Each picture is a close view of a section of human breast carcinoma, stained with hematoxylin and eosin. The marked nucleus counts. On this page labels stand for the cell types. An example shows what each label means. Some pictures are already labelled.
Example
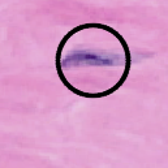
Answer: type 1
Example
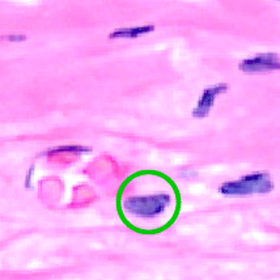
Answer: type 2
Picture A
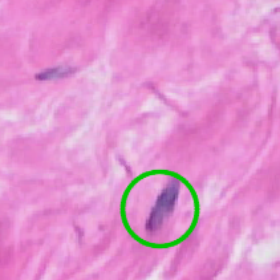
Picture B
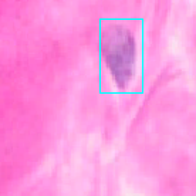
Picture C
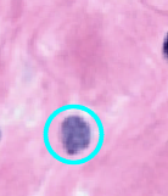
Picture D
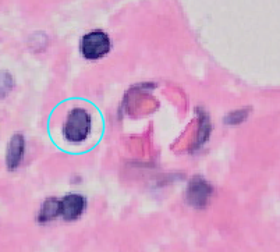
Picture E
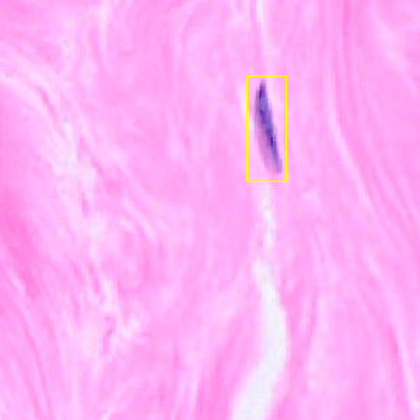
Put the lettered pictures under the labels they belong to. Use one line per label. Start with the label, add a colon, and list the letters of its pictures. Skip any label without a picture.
type 1: A, B, E
type 2: C, D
